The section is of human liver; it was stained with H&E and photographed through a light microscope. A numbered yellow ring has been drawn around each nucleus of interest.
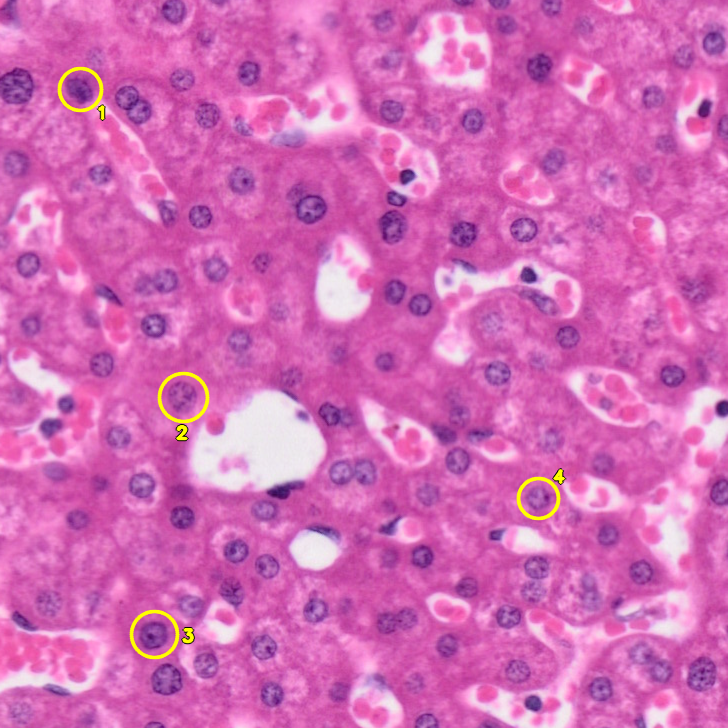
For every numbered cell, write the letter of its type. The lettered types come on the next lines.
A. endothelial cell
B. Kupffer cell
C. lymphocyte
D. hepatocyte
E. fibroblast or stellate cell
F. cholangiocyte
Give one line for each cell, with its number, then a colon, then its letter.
1: E
2: D
3: D
4: D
